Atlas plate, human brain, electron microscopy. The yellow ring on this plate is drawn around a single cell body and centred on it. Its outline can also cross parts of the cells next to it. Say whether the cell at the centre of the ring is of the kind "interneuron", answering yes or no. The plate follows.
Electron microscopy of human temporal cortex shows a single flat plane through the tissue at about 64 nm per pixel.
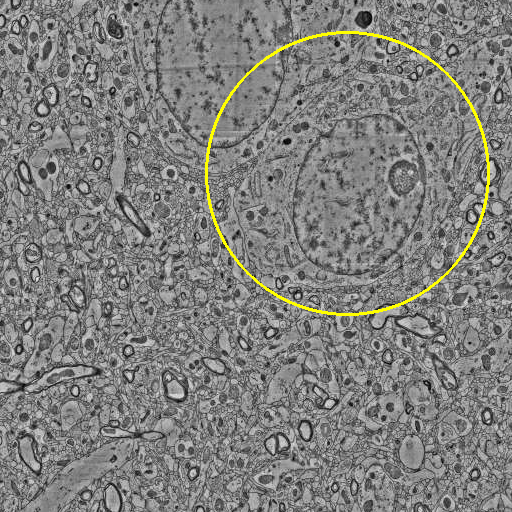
Yes, the cell is of that kind.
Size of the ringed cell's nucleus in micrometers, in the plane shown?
In this plane, approximately 10 by 8 micrometers.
